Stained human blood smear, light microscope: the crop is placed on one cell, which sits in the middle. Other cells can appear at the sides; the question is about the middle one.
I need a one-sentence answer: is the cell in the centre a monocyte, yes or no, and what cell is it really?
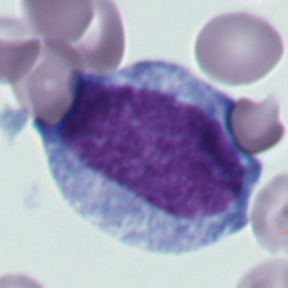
No, not a monocyte: the cell in the middle of this crop is a promyelocyte.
